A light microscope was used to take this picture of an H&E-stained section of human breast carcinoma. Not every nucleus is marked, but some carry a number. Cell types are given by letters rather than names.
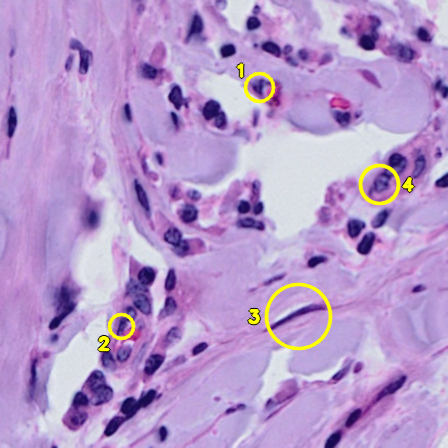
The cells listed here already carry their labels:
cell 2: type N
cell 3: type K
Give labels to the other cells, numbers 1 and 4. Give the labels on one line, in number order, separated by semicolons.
type N; type N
